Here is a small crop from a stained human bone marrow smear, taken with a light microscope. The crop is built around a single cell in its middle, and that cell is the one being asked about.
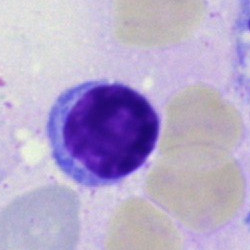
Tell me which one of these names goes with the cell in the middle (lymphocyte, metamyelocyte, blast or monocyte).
lymphocyte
